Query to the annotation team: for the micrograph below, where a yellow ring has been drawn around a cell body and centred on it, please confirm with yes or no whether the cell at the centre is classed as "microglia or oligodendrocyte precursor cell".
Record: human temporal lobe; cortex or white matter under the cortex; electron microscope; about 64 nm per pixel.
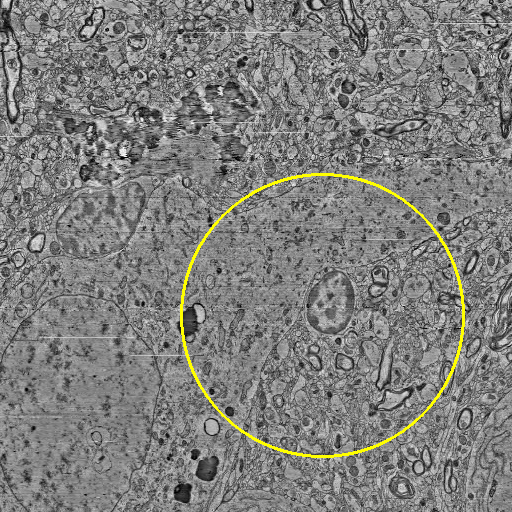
Yes, it is classed that way.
